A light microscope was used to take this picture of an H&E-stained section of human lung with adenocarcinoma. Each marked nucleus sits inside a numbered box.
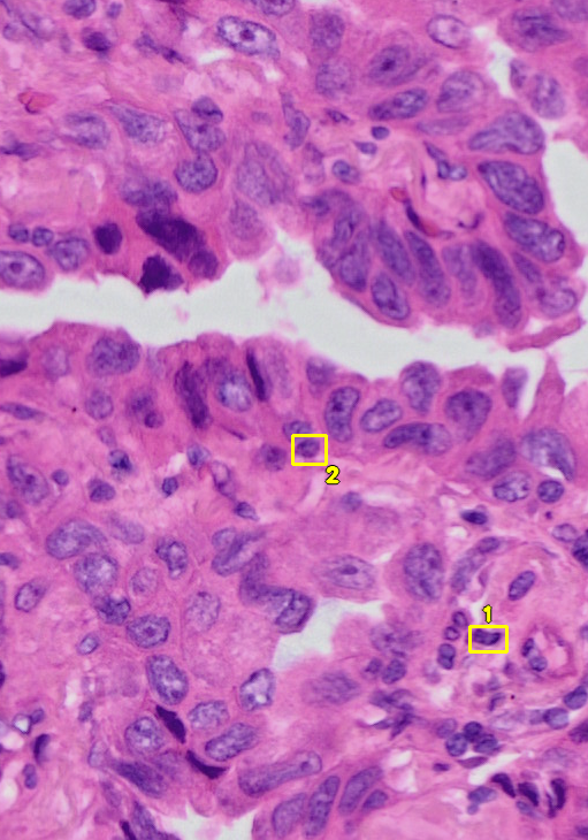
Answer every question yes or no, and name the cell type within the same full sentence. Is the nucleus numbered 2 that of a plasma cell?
No, cell 2 is to be classed as a lymphocyte, not a plasma cell.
